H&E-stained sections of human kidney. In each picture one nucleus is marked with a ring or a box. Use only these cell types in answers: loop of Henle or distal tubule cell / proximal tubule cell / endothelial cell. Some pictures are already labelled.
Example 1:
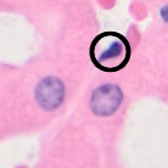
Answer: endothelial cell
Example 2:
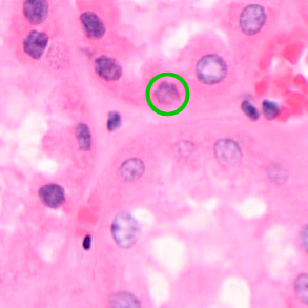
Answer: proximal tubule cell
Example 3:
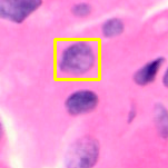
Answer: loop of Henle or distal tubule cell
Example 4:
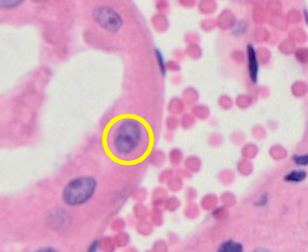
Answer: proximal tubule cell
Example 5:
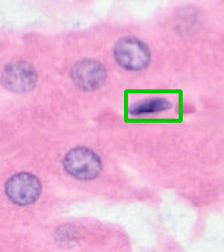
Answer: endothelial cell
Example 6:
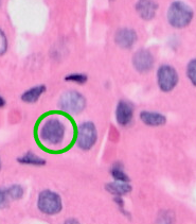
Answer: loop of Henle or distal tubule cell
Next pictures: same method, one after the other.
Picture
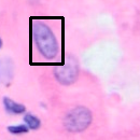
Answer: proximal tubule cell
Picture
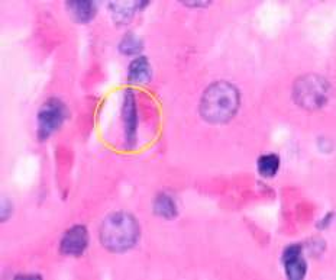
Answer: endothelial cell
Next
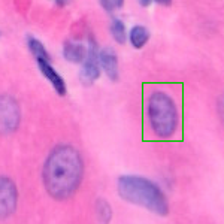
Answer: proximal tubule cell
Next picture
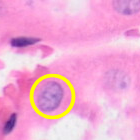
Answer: proximal tubule cell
